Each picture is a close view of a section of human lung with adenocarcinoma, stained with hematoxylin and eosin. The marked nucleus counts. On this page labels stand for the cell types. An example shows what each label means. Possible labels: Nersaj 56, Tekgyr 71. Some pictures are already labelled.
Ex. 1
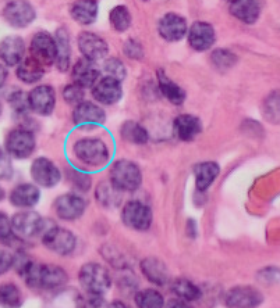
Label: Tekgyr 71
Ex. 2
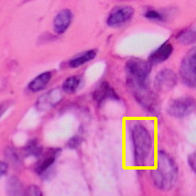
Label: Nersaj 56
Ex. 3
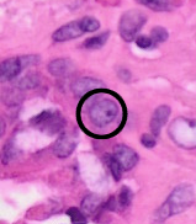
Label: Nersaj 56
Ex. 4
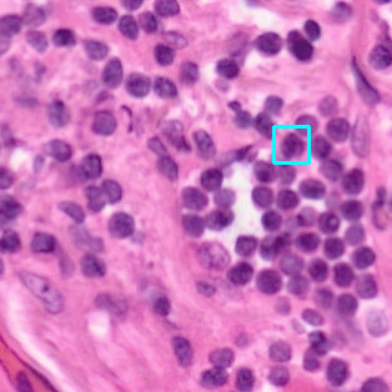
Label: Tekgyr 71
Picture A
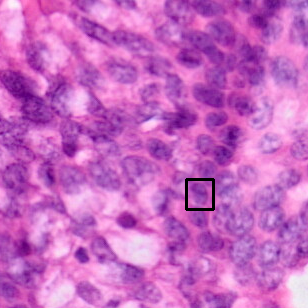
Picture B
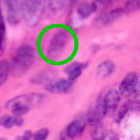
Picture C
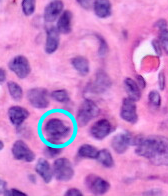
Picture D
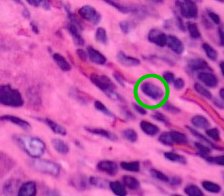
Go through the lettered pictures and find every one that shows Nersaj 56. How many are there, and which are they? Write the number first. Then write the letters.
Count: 2 (A, B)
